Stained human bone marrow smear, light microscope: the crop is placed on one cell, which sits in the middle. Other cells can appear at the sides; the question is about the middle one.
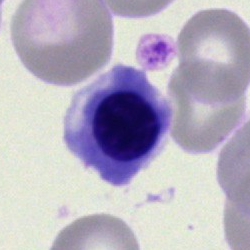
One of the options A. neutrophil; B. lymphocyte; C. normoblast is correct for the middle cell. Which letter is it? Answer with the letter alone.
C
